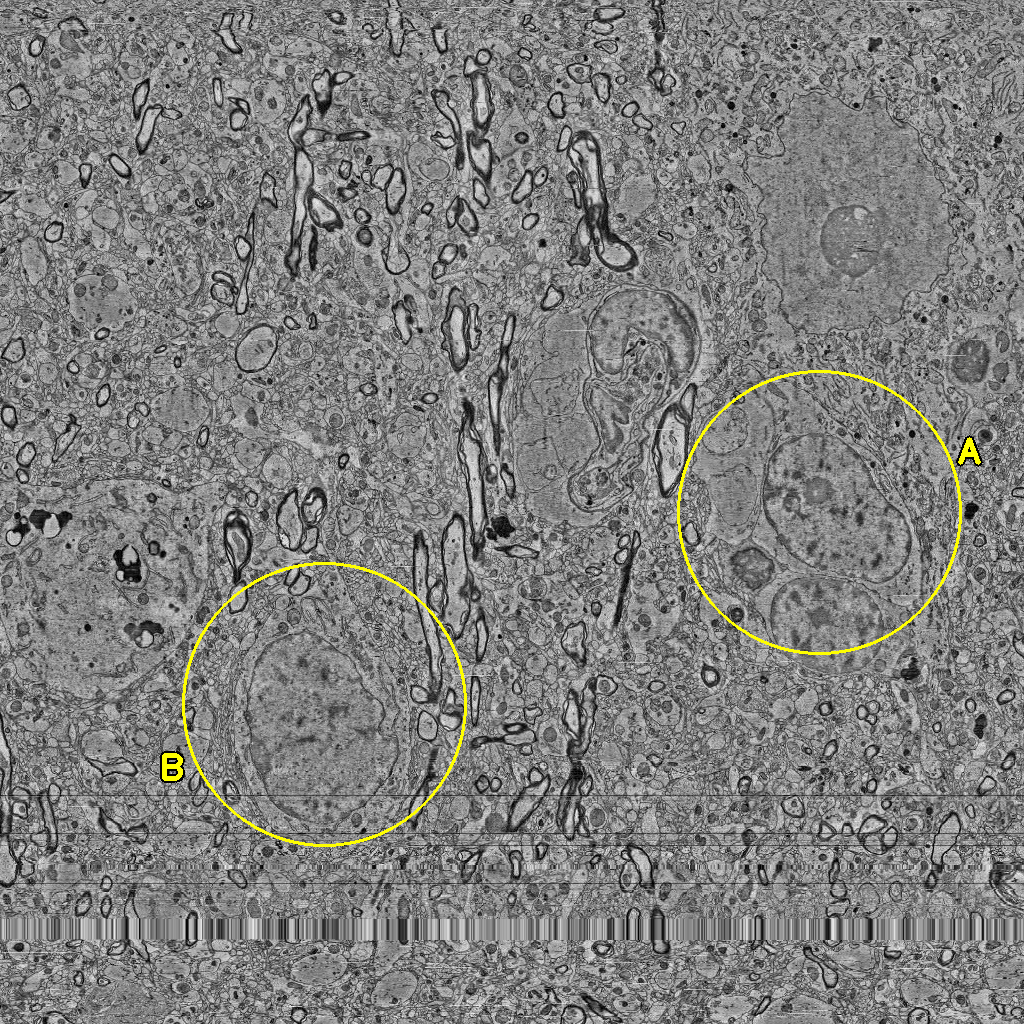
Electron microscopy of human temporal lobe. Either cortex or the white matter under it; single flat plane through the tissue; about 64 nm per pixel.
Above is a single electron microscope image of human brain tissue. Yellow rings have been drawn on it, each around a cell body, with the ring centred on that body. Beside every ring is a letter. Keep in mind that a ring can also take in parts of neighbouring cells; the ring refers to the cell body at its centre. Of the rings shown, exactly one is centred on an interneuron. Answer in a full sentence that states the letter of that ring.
The cell at the centre of ring B is the one asked for.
